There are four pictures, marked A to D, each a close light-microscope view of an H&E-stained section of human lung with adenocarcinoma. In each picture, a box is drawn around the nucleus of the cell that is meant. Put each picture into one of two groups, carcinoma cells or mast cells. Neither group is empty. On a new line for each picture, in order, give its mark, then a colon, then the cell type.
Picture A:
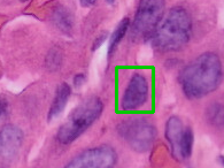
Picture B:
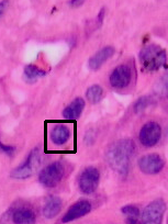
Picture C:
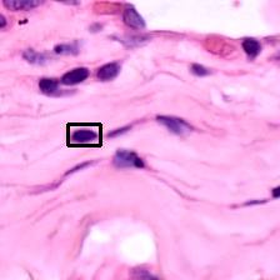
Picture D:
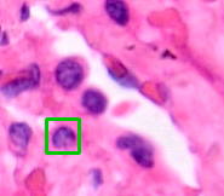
A: carcinoma cell
B: mast cell
C: mast cell
D: mast cell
